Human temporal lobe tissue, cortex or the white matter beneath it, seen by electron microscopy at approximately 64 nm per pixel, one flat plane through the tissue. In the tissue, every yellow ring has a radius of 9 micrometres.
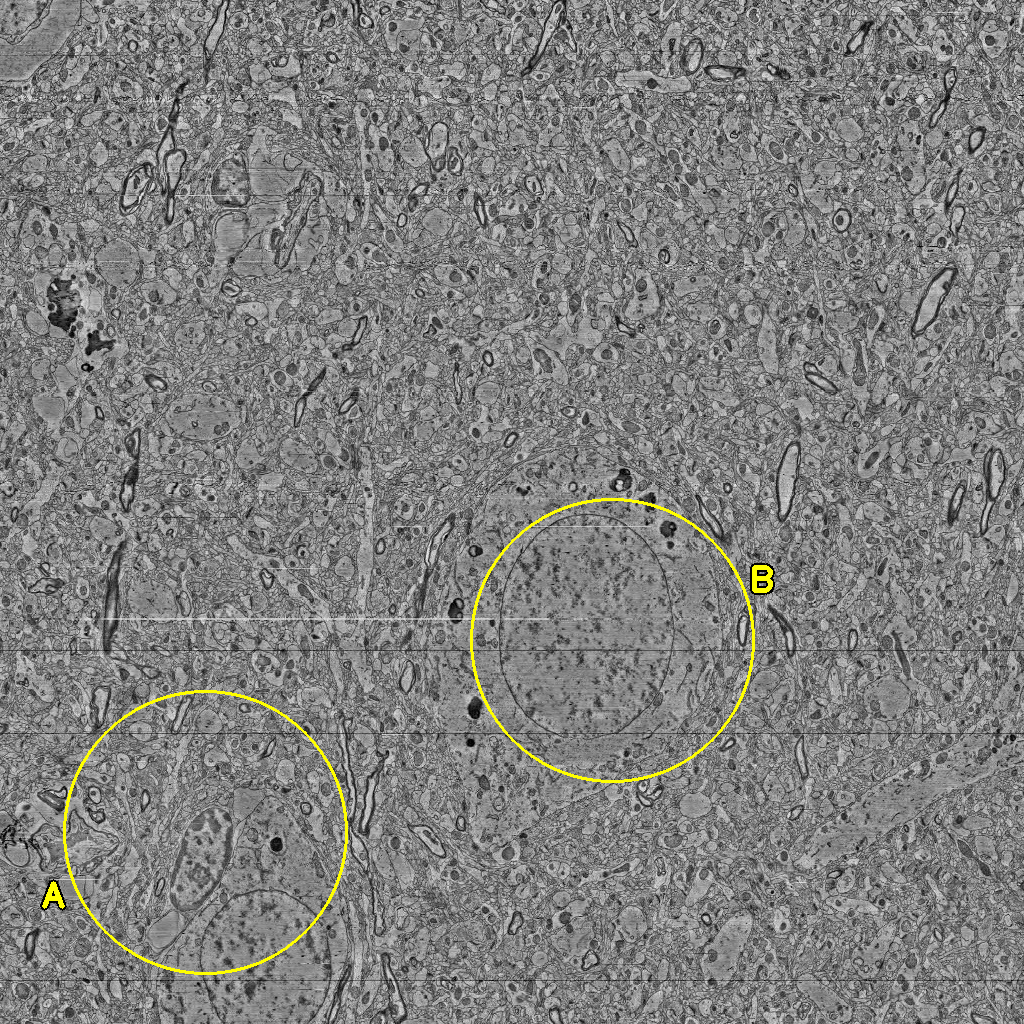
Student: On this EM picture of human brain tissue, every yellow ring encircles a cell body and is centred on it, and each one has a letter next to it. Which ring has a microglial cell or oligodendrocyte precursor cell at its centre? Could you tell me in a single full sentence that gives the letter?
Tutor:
Ring A is the one drawn around the cell you are asking about.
